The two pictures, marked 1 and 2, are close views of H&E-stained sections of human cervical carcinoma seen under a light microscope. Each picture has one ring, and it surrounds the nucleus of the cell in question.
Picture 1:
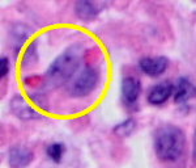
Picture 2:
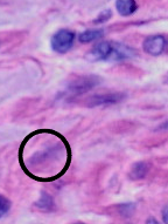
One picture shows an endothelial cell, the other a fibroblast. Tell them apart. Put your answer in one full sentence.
The cell in picture 1 is an endothelial cell, and the one in picture 2 is a fibroblast.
